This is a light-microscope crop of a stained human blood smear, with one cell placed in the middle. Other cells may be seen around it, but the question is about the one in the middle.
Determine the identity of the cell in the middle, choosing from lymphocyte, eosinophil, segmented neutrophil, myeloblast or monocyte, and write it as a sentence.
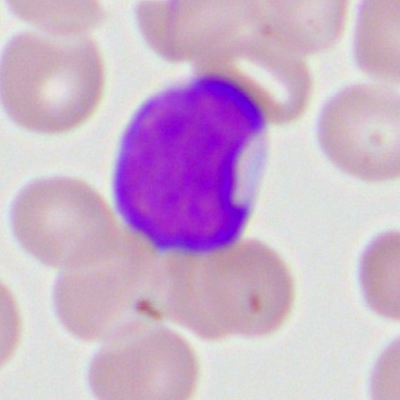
The center cell of this crop is a myeloblast.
